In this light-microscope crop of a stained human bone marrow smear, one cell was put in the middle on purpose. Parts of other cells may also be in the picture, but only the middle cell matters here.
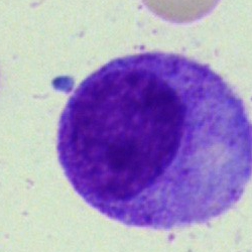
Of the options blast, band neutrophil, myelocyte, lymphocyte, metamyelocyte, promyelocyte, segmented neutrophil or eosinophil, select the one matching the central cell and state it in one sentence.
The cell shown in the center of this light-microscope crop is a promyelocyte.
